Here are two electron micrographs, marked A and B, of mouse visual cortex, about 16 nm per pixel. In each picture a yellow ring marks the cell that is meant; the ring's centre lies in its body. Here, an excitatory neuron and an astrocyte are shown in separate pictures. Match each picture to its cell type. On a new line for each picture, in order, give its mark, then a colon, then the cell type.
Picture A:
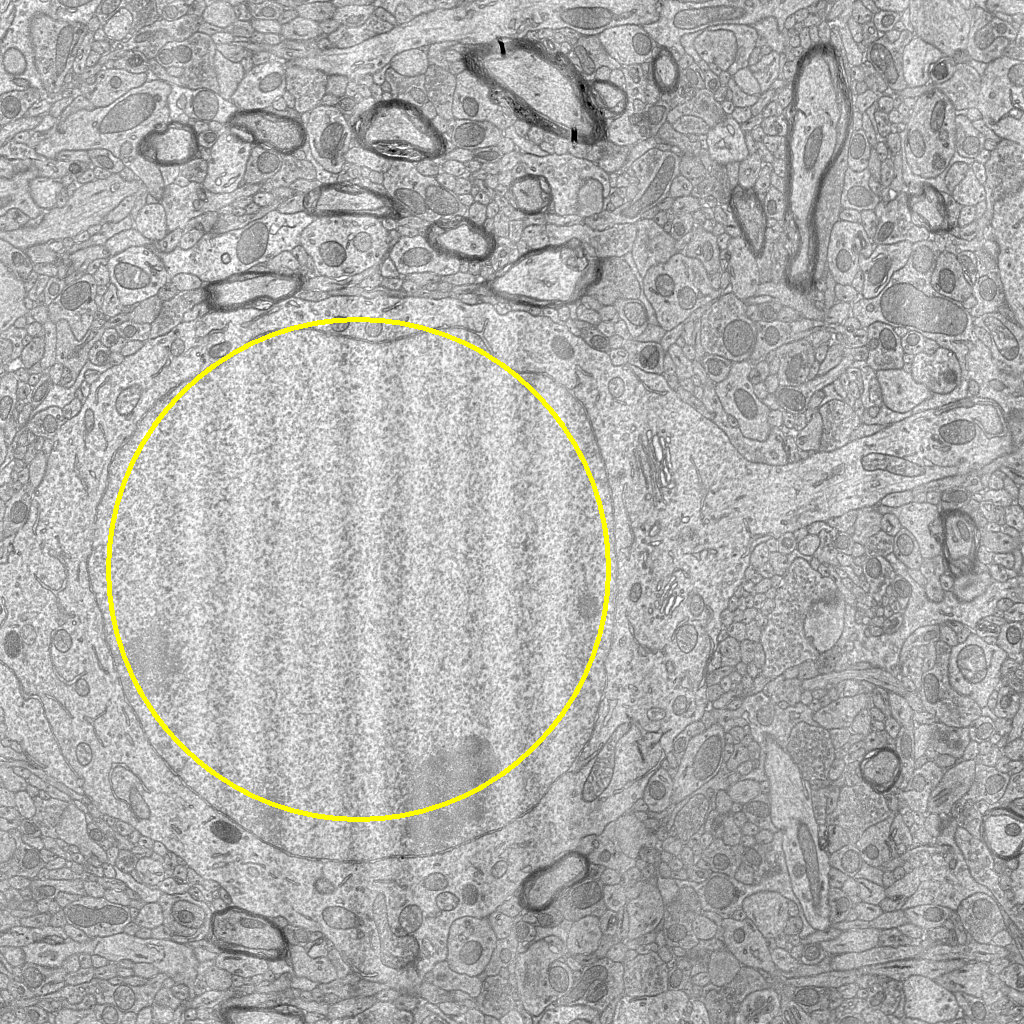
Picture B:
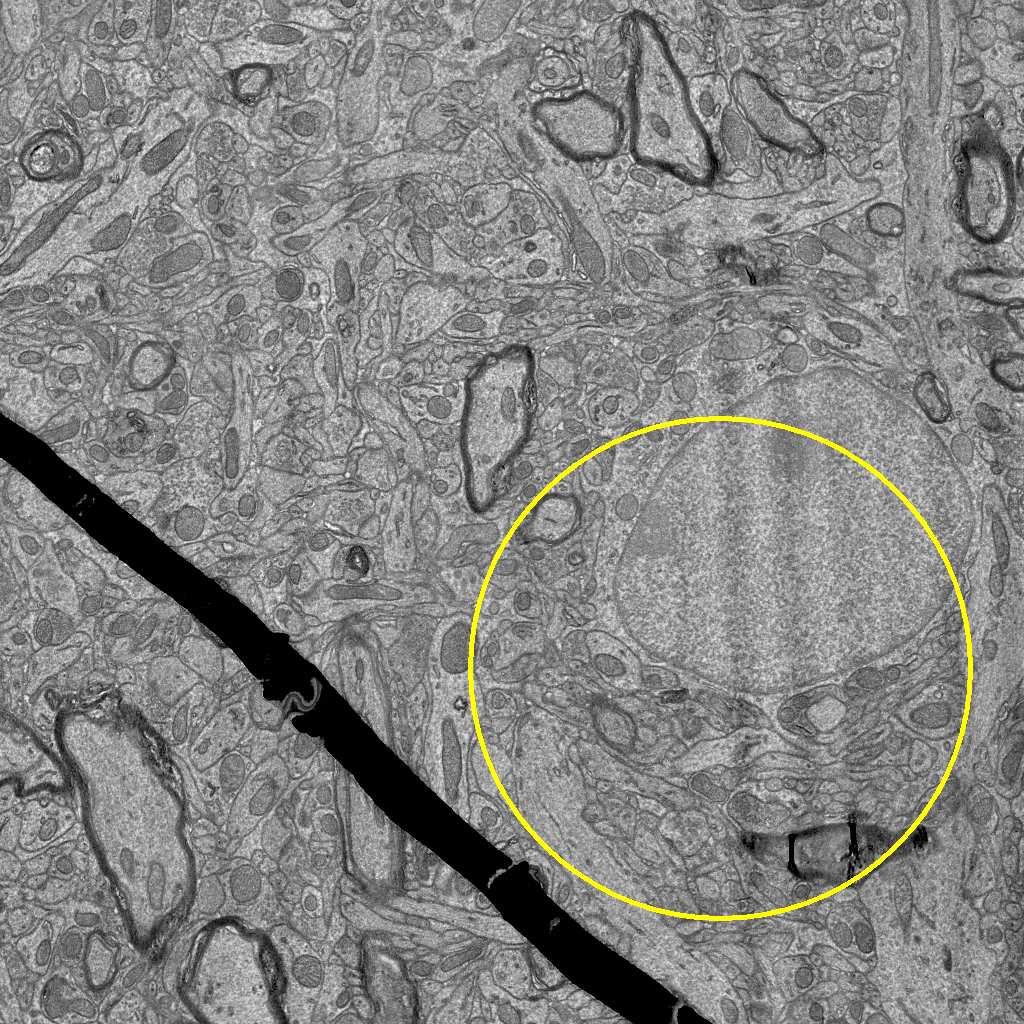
A: excitatory neuron
B: astrocyte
